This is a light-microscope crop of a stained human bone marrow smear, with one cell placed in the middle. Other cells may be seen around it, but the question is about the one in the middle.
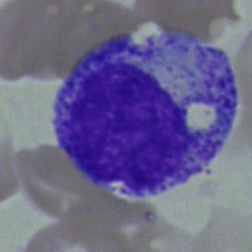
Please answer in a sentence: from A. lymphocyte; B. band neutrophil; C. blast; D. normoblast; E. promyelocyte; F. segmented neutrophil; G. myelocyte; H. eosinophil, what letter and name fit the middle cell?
Given that the cell in the middle is a myelocyte, option G is correct.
